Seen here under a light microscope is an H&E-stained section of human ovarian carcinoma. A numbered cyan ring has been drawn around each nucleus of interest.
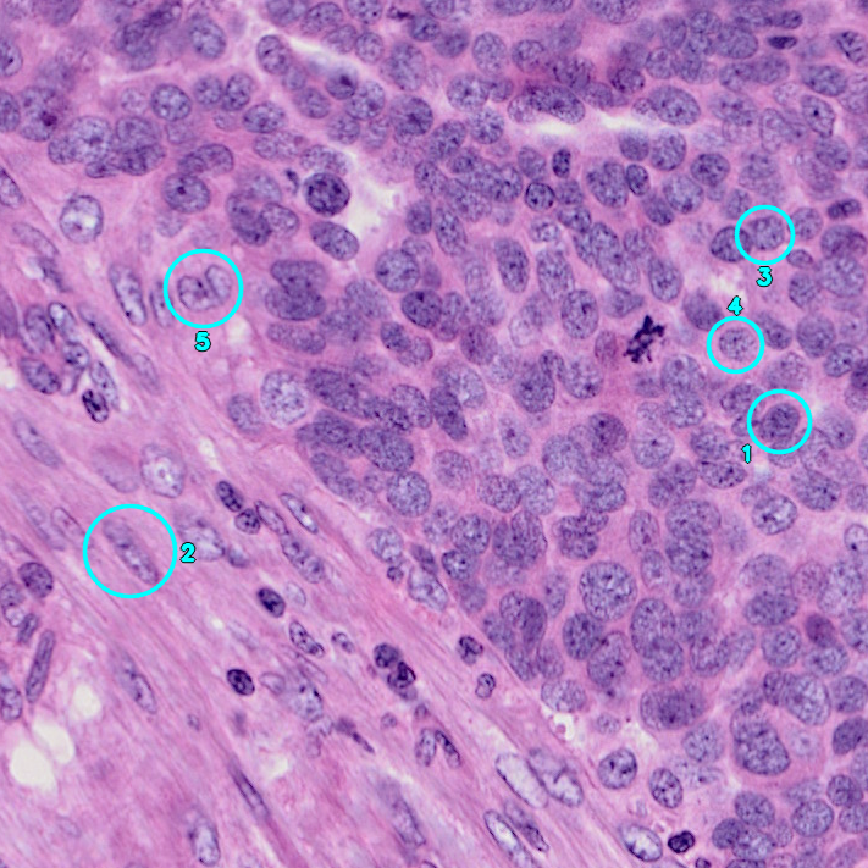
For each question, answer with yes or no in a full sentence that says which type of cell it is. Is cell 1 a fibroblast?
No, number 1 is assigned to a carcinoma cell, not to a fibroblast.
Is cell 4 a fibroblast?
No, calling cell 4 a fibroblast is a mistake; it is a carcinoma cell.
